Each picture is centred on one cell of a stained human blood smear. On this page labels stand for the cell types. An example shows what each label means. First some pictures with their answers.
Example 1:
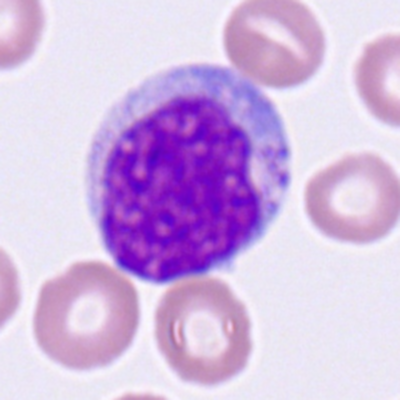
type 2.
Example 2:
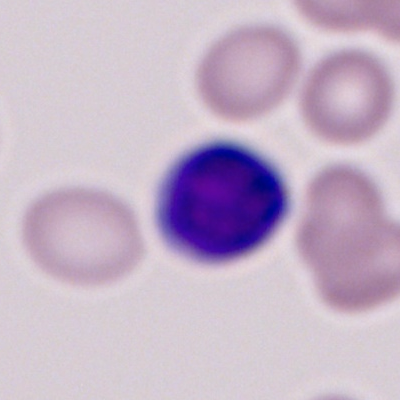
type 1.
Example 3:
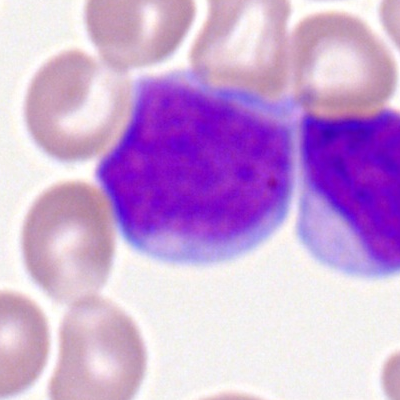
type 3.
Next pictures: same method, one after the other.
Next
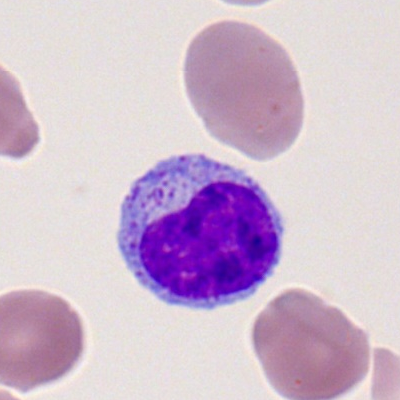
type 1.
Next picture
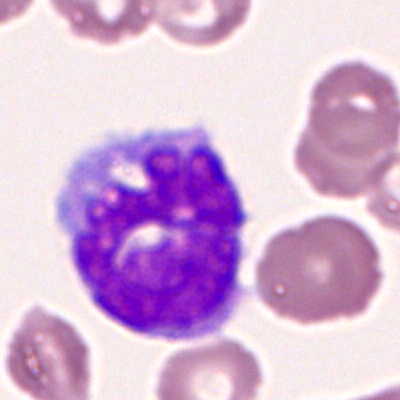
type 2.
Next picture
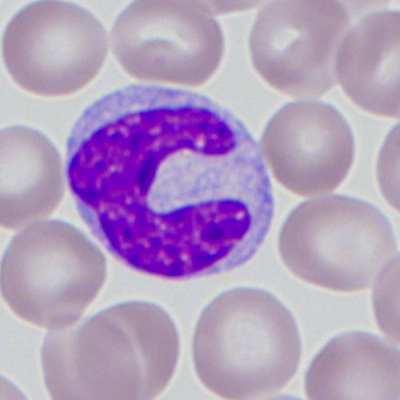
type 2.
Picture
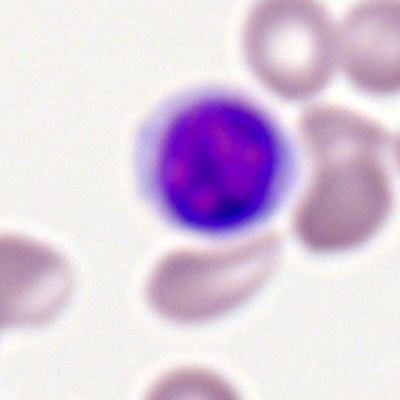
type 1.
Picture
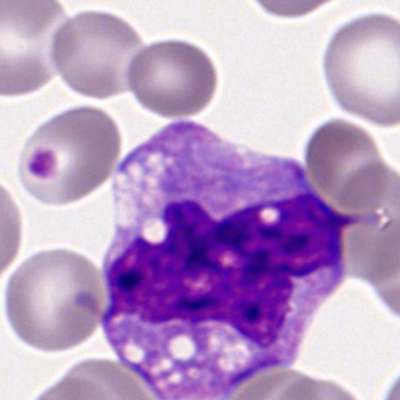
type 2.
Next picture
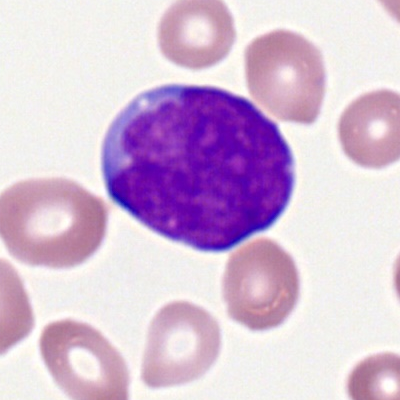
type 3.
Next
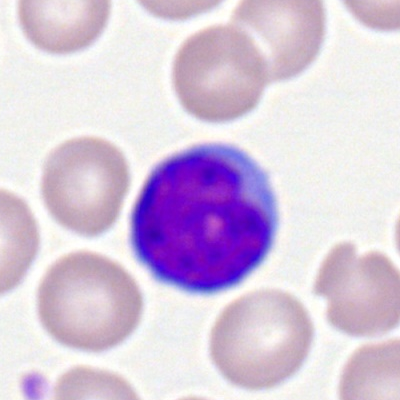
type 1.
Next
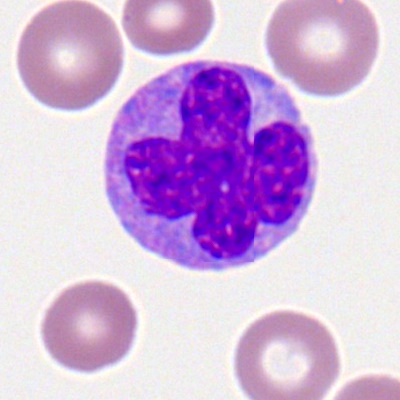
type 2.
